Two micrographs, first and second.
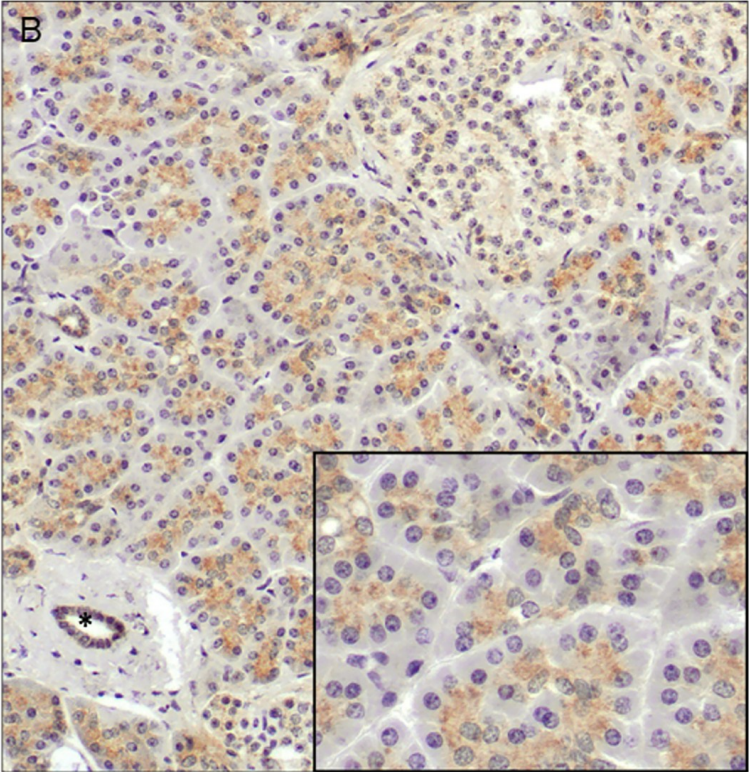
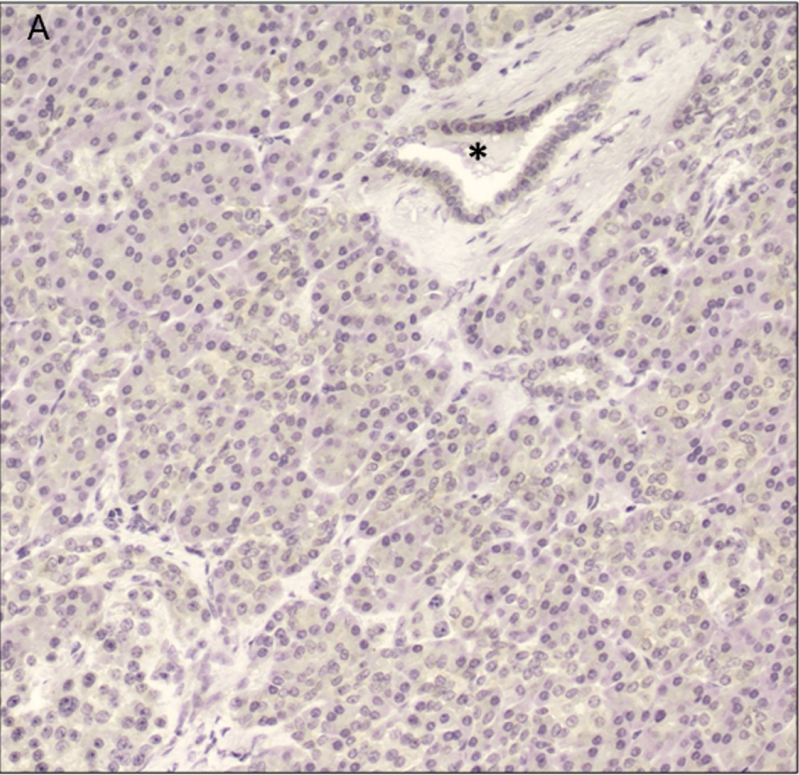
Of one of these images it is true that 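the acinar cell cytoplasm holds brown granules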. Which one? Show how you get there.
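First image: many acinar clusters show brown granular cytoplasm. Second image: the acinar cells are only pale blue-grey with no brown granules.
Conclusion: the first image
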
